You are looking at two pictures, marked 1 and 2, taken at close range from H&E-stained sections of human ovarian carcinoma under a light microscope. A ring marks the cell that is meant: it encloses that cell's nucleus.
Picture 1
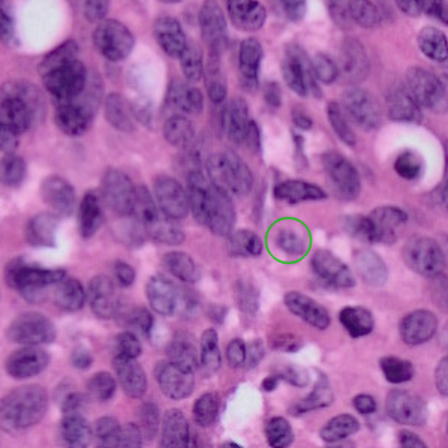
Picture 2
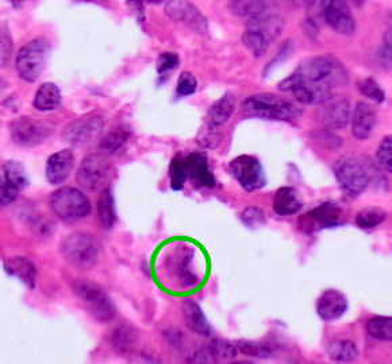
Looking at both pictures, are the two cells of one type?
yes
